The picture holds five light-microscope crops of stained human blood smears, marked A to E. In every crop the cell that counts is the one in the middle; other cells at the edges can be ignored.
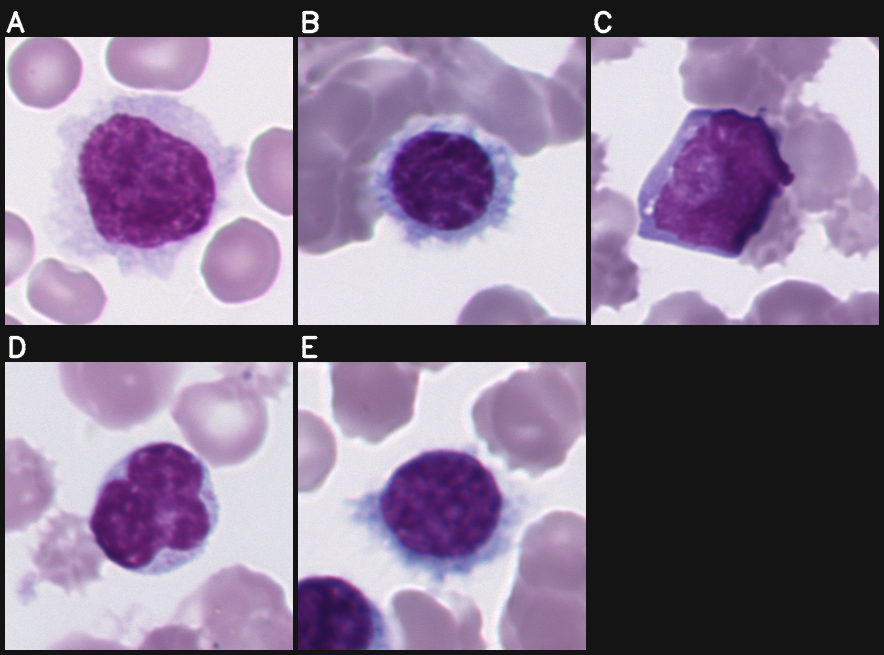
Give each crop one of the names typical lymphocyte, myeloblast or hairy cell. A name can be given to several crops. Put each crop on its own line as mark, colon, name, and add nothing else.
A: hairy cell
B: hairy cell
C: myeloblast
D: typical lymphocyte
E: hairy cell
